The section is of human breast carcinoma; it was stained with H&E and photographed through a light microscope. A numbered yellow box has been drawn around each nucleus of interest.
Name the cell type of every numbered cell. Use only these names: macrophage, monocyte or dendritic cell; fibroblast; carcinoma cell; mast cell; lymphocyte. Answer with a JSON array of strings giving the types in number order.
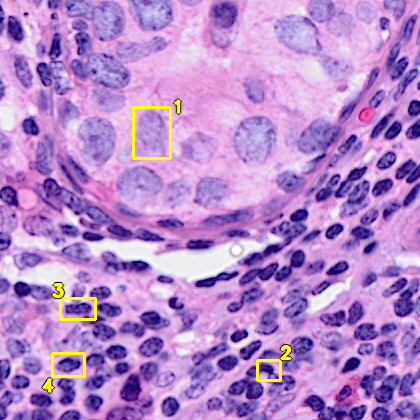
["carcinoma cell", "lymphocyte", "lymphocyte", "lymphocyte"]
